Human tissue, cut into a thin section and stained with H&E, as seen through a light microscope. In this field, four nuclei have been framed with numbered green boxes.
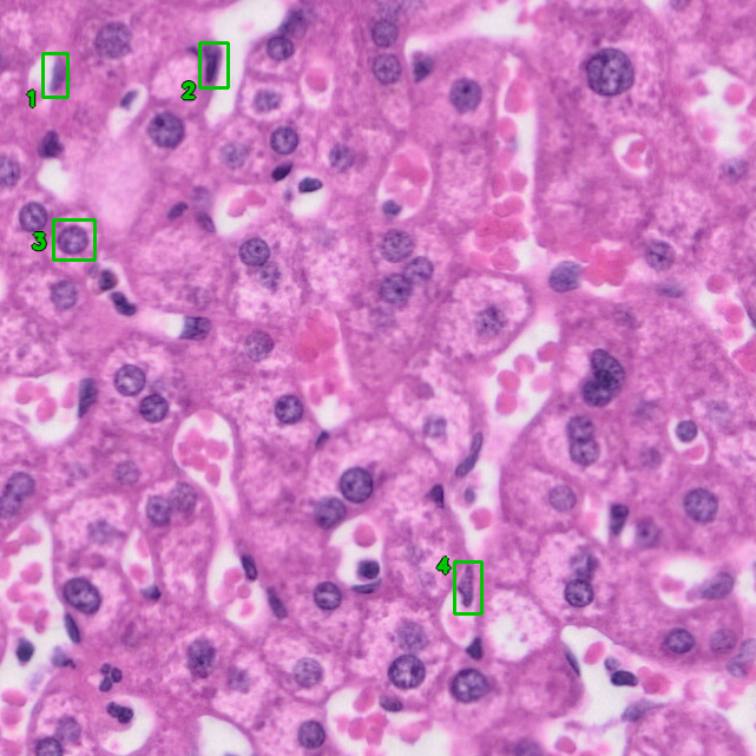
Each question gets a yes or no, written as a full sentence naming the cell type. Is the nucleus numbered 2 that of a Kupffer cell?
Yes, correct, the cell with the number 2 is a Kupffer cell.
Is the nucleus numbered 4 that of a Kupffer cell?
Yes, that is so; number 4 marks a Kupffer cell.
